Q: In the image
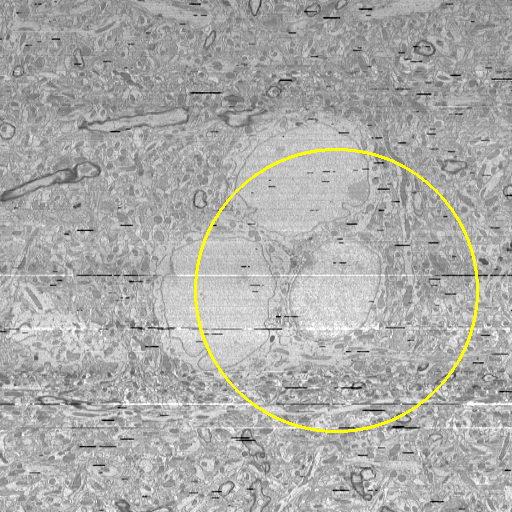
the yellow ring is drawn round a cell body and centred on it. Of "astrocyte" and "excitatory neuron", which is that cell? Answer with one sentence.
The cell centred in the ring is an astrocyte.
